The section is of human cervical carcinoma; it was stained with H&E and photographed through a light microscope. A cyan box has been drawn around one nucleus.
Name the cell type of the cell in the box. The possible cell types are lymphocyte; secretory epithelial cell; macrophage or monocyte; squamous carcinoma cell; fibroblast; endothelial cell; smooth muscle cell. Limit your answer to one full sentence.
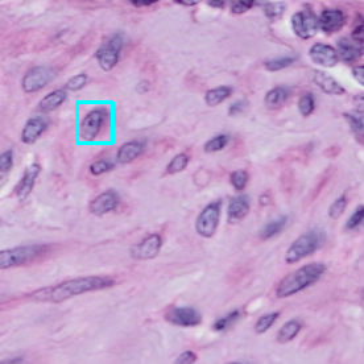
The classification of the cell in the box is as a smooth muscle cell.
